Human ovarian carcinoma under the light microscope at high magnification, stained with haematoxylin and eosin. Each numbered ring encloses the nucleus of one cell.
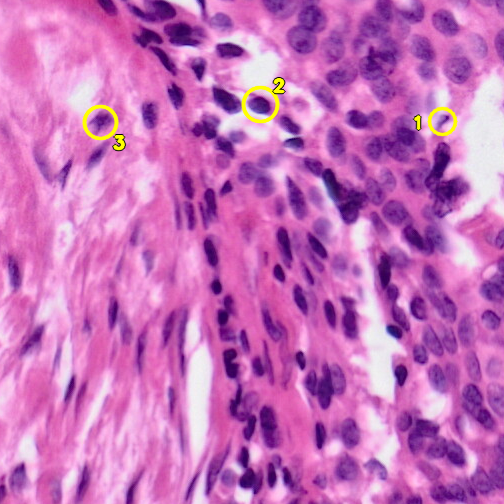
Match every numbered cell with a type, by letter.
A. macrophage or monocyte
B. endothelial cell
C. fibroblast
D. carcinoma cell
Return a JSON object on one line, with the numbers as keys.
{"1": "A", "2": "D", "3": "C"}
